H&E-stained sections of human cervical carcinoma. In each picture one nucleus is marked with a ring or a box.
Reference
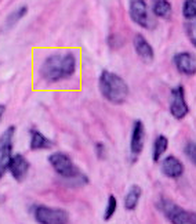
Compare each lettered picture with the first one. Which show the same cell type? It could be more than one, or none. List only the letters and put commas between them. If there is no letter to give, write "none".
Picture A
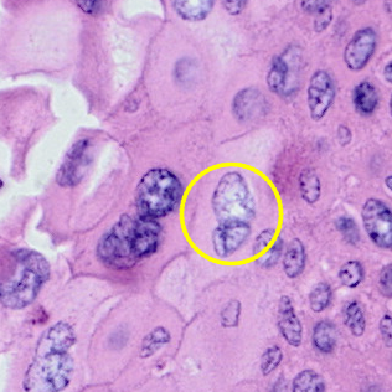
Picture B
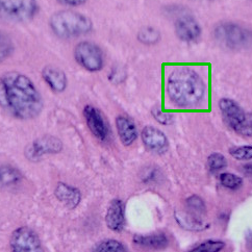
none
